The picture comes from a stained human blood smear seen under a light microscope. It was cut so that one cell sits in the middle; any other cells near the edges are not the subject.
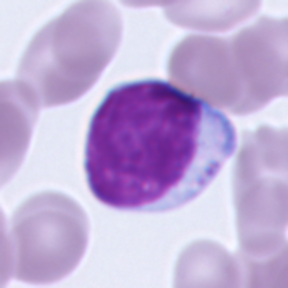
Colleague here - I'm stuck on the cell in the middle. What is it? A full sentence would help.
The cell positioned in the middle of the field is a large granular lymphocyte.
